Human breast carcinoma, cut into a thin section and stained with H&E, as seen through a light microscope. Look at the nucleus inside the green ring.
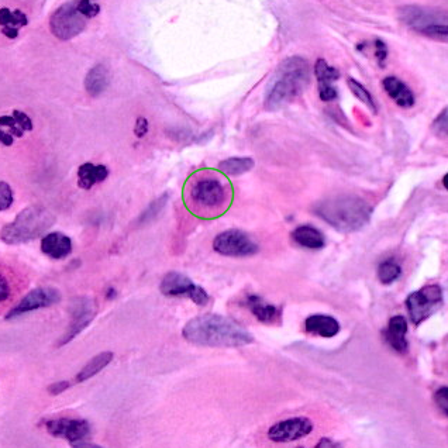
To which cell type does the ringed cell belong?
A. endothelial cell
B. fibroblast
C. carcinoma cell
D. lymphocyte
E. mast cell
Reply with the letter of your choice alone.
E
